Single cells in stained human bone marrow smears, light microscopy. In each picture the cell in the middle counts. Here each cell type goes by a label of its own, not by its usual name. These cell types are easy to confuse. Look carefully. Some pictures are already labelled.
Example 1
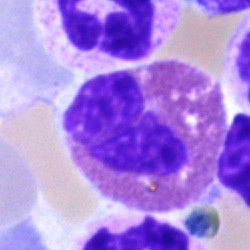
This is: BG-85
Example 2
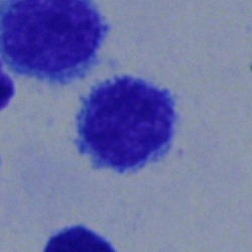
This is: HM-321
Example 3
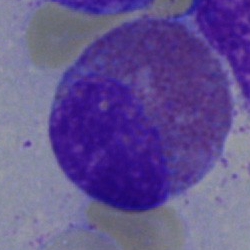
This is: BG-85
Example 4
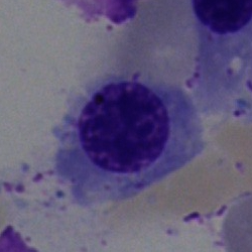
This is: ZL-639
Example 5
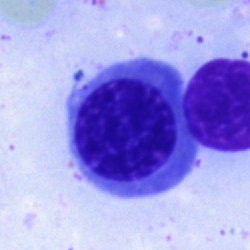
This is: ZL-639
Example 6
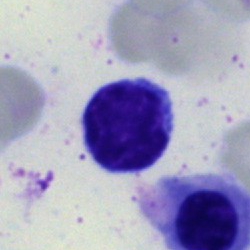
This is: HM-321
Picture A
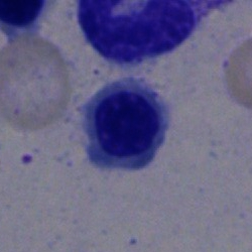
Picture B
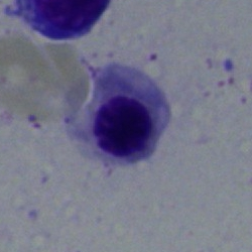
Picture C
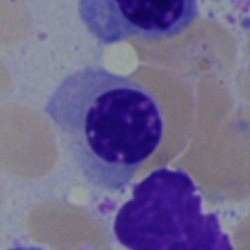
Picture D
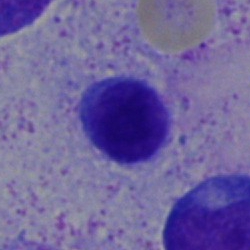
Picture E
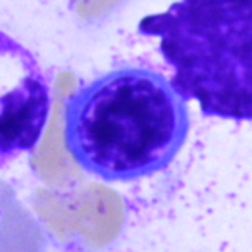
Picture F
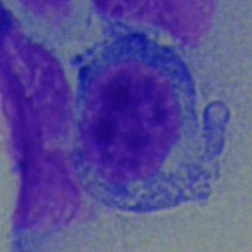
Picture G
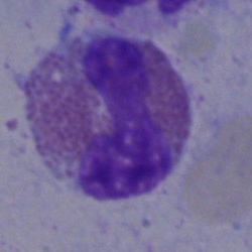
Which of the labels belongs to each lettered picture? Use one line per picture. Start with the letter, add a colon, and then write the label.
A: ZL-639
B: ZL-639
C: ZL-639
D: HM-321
E: ZL-639
F: HM-321
G: BG-85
